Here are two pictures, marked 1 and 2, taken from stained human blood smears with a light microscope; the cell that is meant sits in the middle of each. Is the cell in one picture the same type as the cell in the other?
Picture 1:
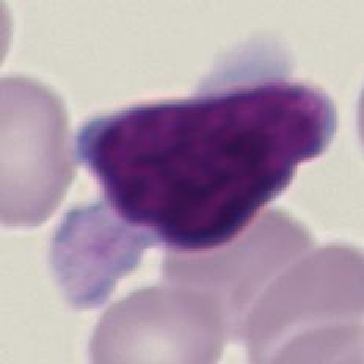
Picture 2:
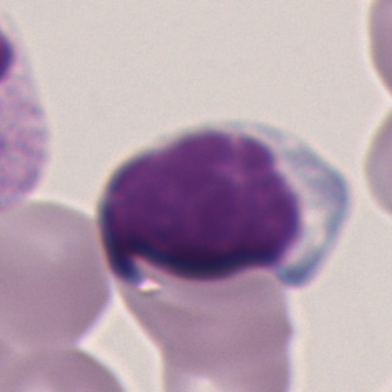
yes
